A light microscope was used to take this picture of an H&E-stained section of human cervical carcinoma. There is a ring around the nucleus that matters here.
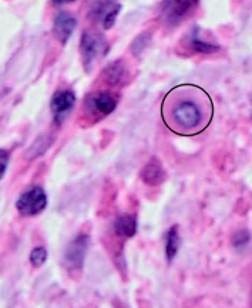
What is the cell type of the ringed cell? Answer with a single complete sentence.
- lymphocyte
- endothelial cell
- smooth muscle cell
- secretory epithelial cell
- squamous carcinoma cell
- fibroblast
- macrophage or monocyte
The ringed cell is an endothelial cell.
